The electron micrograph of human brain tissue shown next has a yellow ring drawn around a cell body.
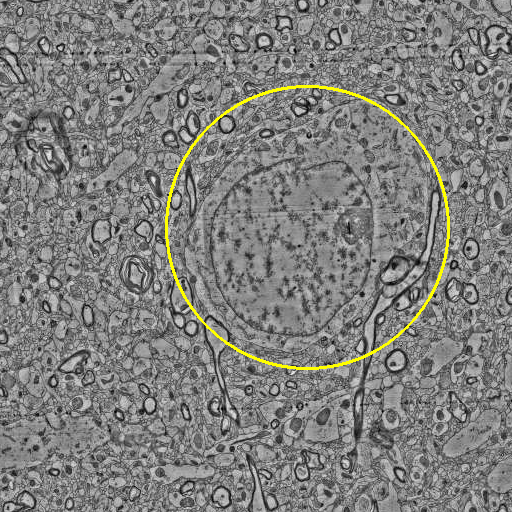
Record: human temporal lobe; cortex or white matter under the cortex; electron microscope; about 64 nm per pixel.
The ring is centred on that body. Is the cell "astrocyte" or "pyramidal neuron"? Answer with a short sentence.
The cell in question is a pyramidal neuron.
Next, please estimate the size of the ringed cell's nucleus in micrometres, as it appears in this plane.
Roughly 11 micrometres across for the nucleus, in this plane.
